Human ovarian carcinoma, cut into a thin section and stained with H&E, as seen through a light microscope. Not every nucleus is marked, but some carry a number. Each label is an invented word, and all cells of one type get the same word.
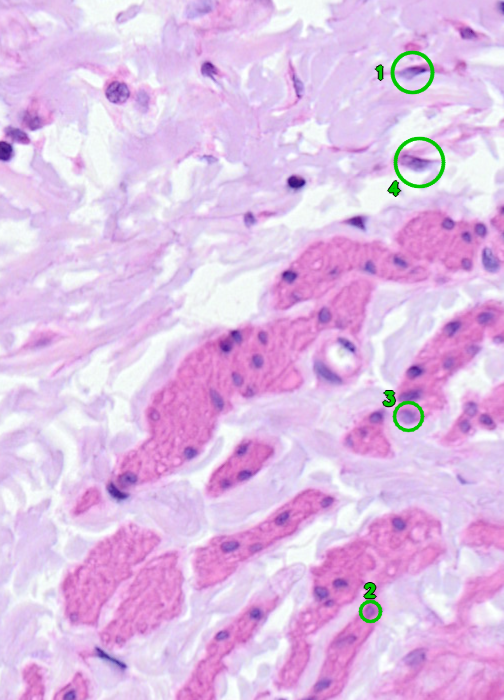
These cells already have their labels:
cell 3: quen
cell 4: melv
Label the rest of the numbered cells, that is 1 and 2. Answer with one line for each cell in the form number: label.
1: melv
2: quen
